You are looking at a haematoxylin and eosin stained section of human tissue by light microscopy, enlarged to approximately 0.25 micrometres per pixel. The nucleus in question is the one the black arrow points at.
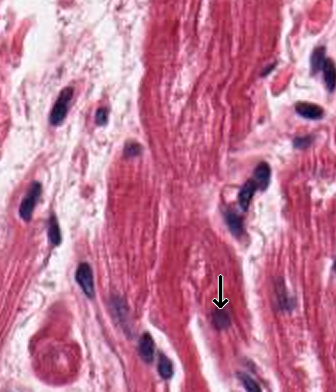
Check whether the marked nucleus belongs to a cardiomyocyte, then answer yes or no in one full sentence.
Yes, the marked nucleus belongs to a cardiomyocyte in this image.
